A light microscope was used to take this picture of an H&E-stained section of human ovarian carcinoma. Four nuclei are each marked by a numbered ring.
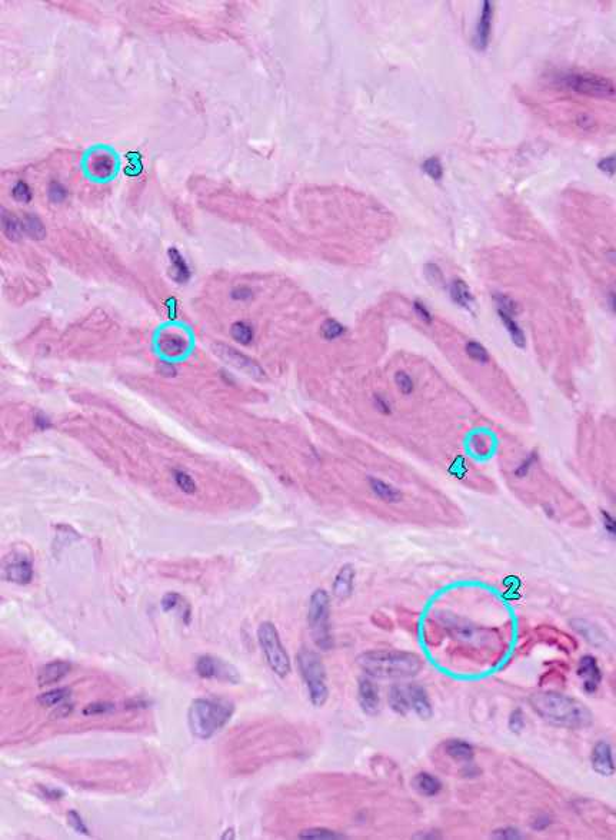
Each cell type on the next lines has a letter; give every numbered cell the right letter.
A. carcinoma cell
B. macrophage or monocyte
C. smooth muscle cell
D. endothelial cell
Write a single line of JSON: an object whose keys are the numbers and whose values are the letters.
{"1": "C", "2": "D", "3": "C", "4": "C"}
